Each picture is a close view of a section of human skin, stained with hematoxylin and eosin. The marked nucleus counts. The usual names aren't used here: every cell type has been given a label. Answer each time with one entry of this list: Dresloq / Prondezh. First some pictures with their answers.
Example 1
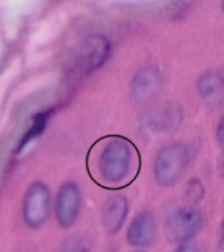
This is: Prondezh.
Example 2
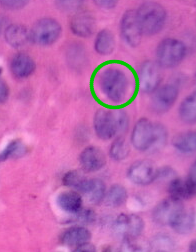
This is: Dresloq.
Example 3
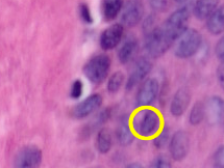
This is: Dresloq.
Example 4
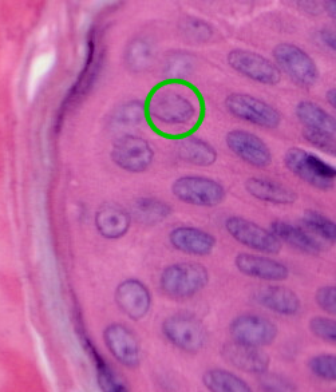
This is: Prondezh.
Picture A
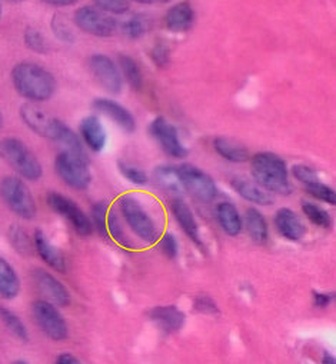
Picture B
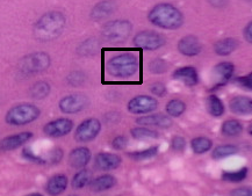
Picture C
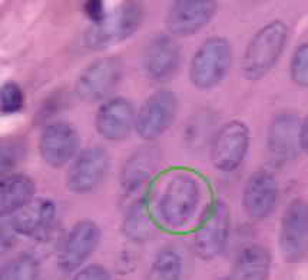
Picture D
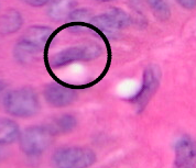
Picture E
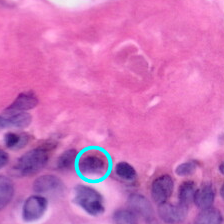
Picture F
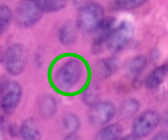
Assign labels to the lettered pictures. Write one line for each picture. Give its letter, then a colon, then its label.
A: Dresloq.
B: Prondezh.
C: Prondezh.
D: Dresloq.
E: Dresloq.
F: Prondezh.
